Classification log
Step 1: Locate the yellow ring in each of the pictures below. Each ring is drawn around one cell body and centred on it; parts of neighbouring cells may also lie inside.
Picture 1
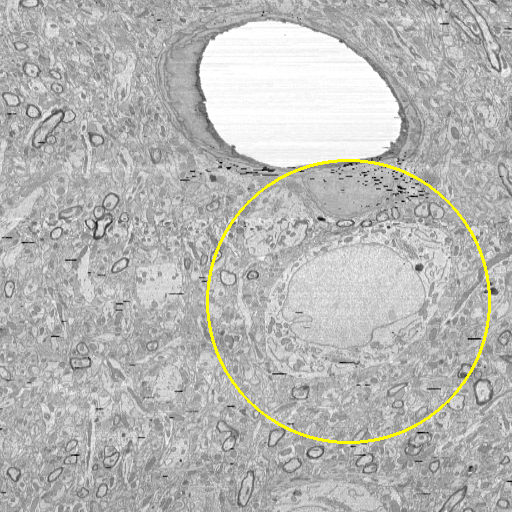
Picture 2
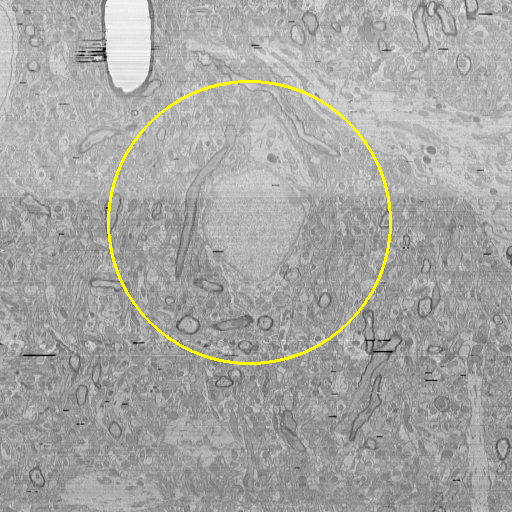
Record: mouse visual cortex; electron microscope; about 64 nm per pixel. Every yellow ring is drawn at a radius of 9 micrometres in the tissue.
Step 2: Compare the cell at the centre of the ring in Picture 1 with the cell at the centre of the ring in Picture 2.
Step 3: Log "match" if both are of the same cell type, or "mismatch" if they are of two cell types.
mismatch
